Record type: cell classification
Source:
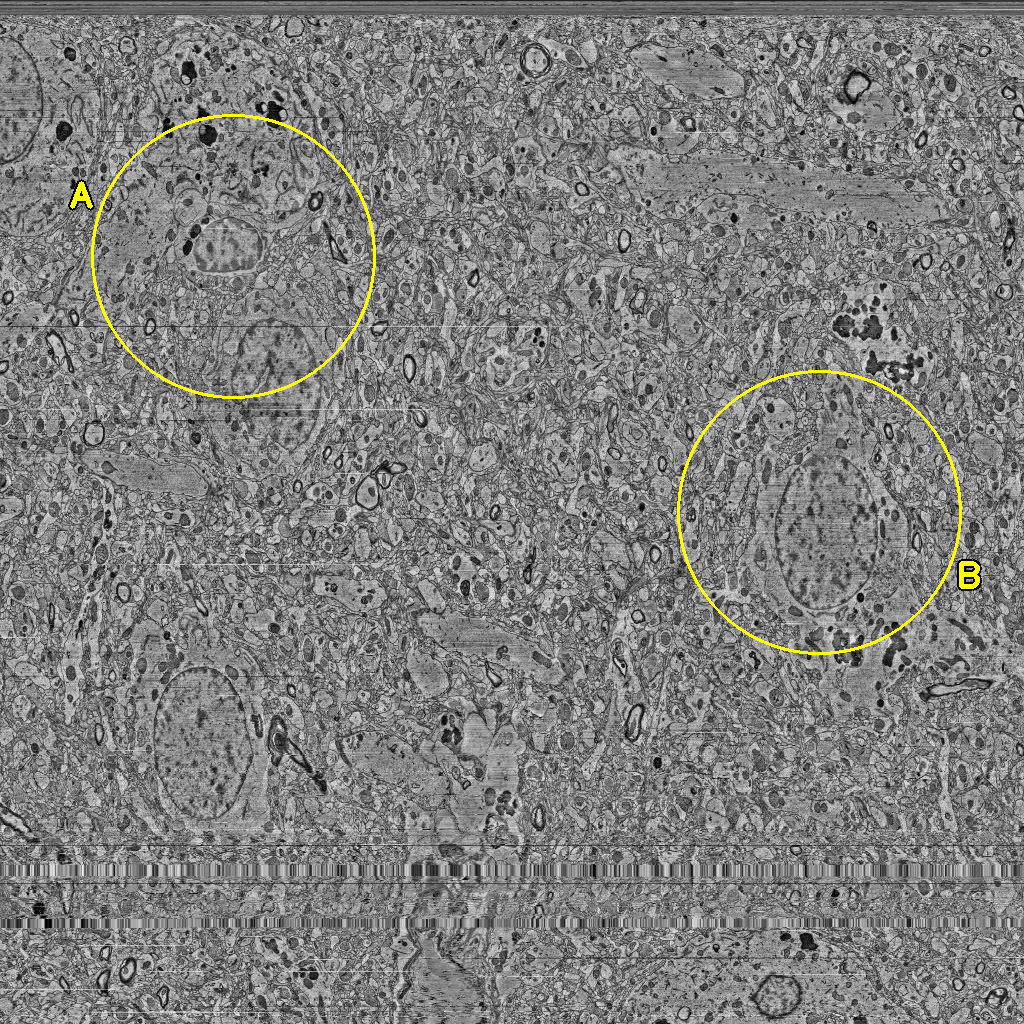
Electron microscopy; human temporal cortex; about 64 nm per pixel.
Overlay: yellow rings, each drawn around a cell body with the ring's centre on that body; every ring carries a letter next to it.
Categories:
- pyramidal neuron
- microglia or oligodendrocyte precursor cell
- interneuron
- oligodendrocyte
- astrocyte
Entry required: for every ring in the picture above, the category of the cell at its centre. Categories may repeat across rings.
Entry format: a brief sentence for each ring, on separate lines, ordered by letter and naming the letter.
At the centre of ring A lies a microglial cell or oligodendrocyte precursor cell.
At the centre of ring B lies an astrocyte.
